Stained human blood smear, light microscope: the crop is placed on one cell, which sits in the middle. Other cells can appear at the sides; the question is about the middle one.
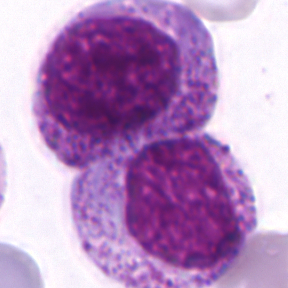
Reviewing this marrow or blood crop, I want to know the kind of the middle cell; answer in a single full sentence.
Within this crop, a myelocyte occupies the central position.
